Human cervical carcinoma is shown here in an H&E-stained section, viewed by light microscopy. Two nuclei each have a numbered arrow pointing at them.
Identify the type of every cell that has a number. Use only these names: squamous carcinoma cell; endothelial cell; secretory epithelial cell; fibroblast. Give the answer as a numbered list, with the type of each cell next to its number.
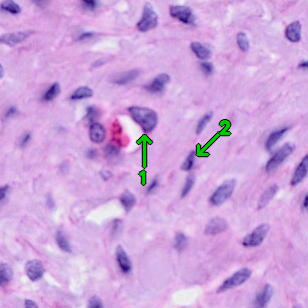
1. endothelial cell
2. fibroblast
